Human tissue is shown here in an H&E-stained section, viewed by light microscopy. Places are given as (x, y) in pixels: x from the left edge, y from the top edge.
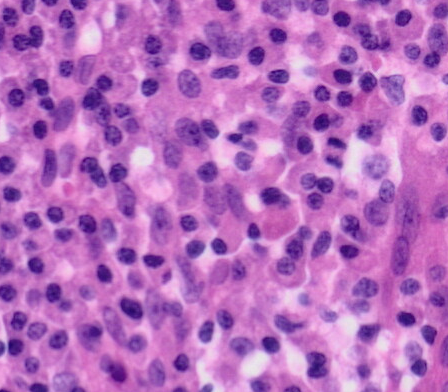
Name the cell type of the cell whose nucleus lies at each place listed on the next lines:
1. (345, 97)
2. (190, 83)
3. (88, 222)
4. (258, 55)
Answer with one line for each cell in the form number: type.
1: plasma cell
2: squamous epithelial cell
3: plasma cell
4: plasma cell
